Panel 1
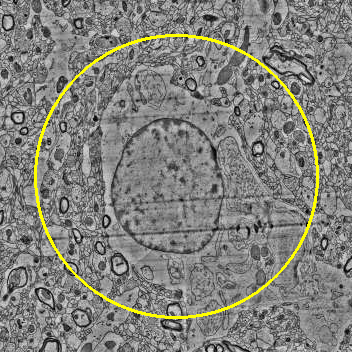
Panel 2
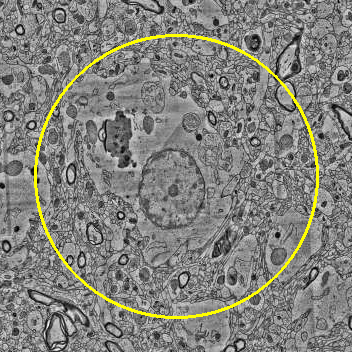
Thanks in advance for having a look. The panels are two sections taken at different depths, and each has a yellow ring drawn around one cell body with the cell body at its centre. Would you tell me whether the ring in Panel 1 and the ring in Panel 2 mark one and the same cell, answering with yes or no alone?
yes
